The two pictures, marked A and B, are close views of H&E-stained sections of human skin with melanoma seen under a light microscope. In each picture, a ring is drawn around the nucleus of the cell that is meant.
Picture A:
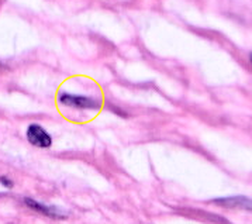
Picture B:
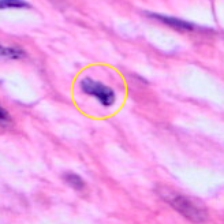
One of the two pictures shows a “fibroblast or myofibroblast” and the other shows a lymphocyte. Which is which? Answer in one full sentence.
It is picture A that shows a “fibroblast or myofibroblast”, and picture B that shows a lymphocyte.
